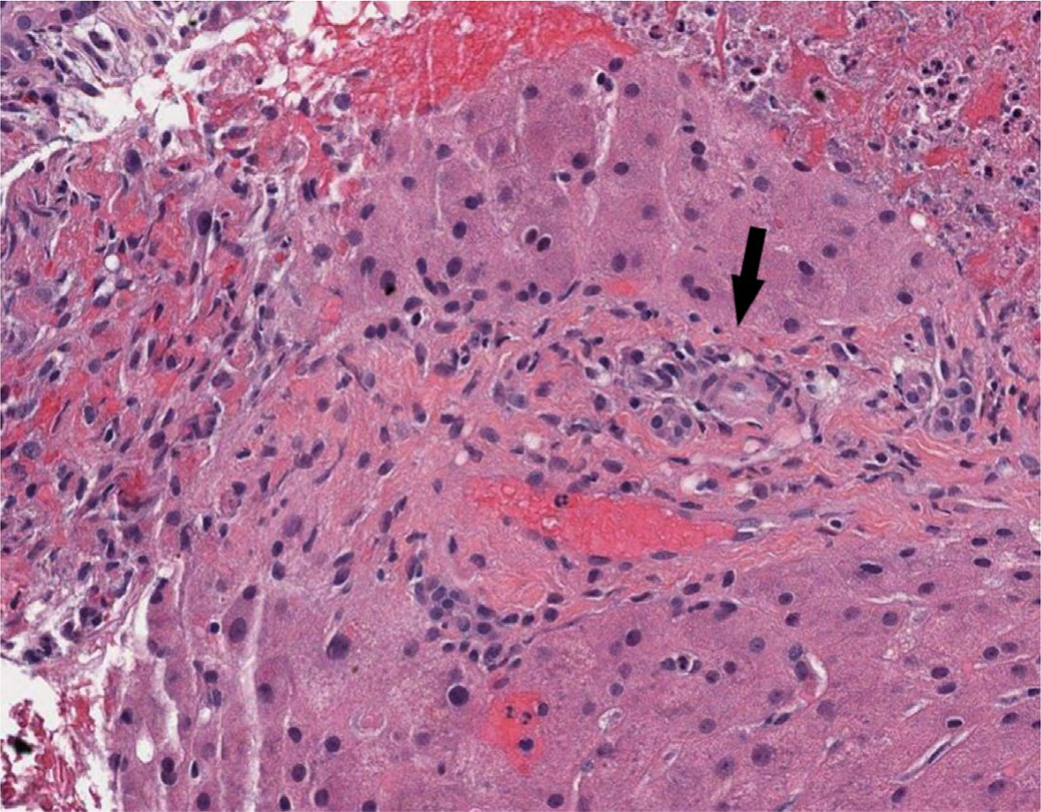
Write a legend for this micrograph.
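This is liver with a portal tract running across the center. The portal tract is a band of wavy pink collagen with spindle-shaped nuclei, small vessel profiles and a few scattered inflammatory cells. A pool of red blood in a vessel lies along it. Large polygonal hepatocytes with abundant pink cytoplasm and round central nuclei, some with two nuclei, fill the parenchyma above and below. At the upper right and upper left the parenchyma gives way to bright red hemorrhage, and at the upper right there are clusters of small dark inflammatory cells.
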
